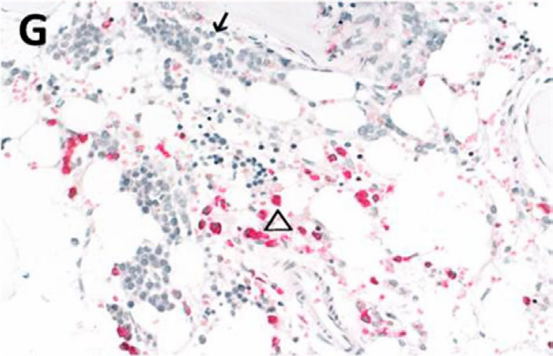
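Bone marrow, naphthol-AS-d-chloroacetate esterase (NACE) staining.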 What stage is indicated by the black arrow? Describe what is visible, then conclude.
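A cluster of small round cells with dark blue-grey nuclei and no red cytoplasm lies at the arrow. The cells are tightly grouped in a small colony. The answer: immature erythropoiesis.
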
